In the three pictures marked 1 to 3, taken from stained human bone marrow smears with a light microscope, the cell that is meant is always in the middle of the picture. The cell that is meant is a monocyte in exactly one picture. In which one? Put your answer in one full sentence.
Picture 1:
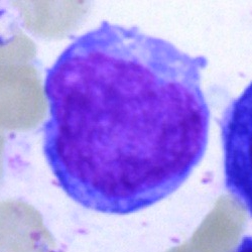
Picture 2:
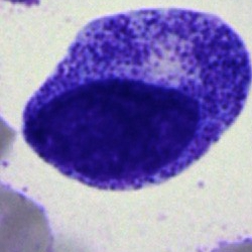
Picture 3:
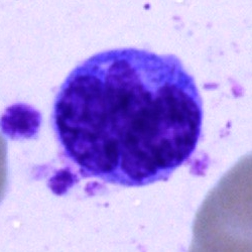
The picture with the monocyte is 3.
